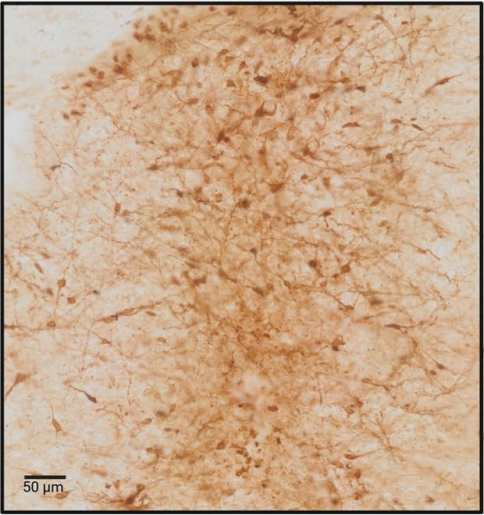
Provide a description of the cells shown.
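This field of brain tissue is crowded with brown-filled neurons. Their small round to spindle-shaped cell bodies give off several tapering, branching processes. Between the cells, a dense tangle of fine brown fibres forms a meshwork, and staining fades toward the paler tissue at the upper left.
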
